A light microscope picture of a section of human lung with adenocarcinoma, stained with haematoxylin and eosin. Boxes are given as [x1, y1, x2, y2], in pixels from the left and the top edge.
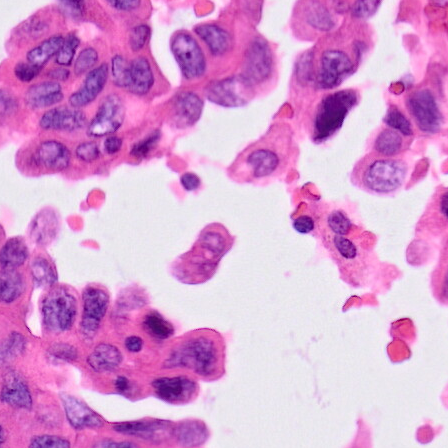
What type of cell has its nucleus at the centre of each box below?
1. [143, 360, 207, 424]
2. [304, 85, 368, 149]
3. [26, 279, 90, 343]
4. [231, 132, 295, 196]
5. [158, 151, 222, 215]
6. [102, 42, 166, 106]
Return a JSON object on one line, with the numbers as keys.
{"1": "carcinoma cell", "2": "carcinoma cell", "3": "carcinoma cell", "4": "macrophage or monocyte", "5": "lymphocyte", "6": "carcinoma cell"}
